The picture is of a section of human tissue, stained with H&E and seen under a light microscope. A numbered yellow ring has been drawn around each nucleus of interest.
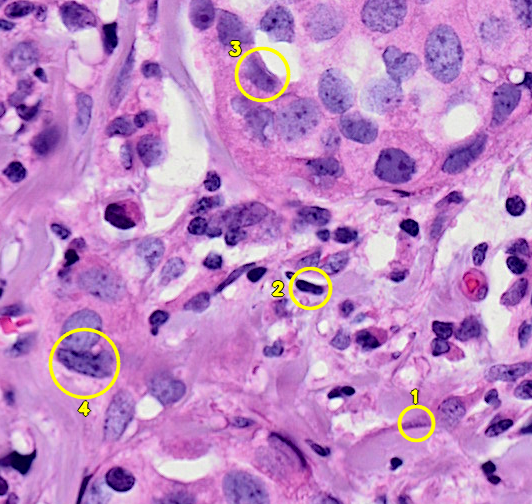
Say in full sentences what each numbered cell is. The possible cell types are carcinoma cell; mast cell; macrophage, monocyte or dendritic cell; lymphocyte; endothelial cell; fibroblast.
Cell 1 is a fibroblast. Cell 2 is a lymphocyte. Cells 3 and 4 are carcinoma cells.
